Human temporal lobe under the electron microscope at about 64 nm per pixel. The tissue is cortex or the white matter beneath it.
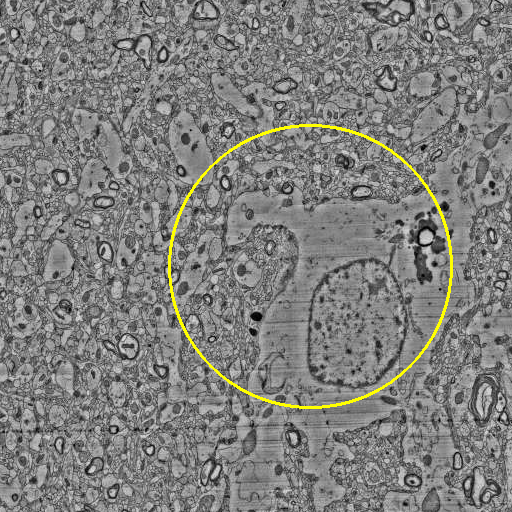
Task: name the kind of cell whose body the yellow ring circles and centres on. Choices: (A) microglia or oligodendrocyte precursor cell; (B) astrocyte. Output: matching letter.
A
